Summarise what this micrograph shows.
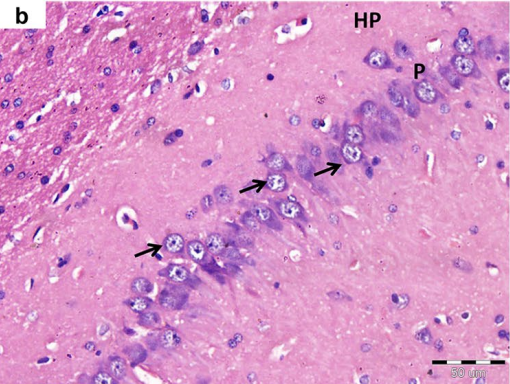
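A band of closely packed large neurons runs diagonally across pink, finely fibrillar neuropil. These are the pyramidal cells of the hippocampus proper. Each has a large rounded nucleus that looks pale and vesicular, with a dark, prominent nucleolus in its centre, and only a thin rim of purplish, basophilic cytoplasm. The cells sit side by side in a well-ordered layer a few cells thick. Scattered small dark nuclei of glial cells and a few small blood vessels lie in the surrounding pink tissue. Nothing looks shrunken or vacuolated; the layer is orderly and intact.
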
